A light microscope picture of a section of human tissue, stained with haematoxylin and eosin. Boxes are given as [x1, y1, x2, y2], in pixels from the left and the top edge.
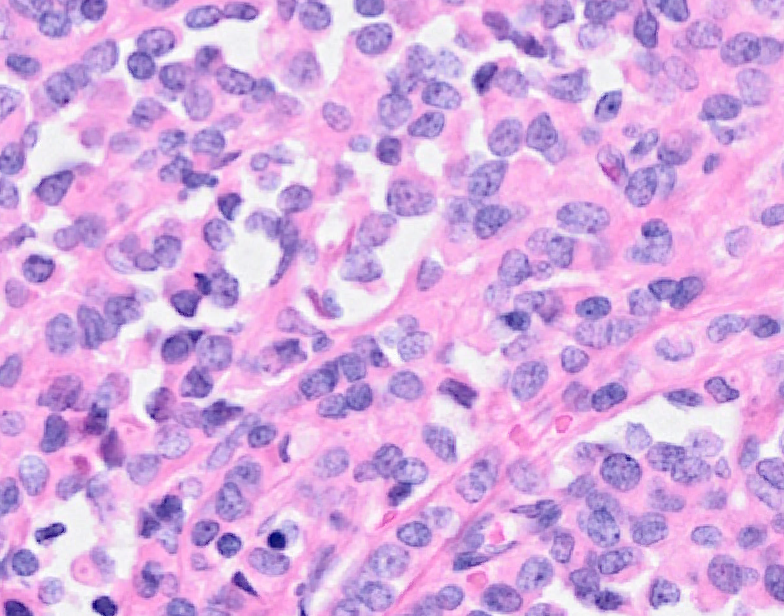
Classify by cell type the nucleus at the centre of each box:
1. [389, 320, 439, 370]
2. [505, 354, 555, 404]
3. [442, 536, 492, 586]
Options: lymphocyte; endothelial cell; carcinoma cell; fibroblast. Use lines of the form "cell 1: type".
cell 1: carcinoma cell
cell 2: carcinoma cell
cell 3: endothelial cell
